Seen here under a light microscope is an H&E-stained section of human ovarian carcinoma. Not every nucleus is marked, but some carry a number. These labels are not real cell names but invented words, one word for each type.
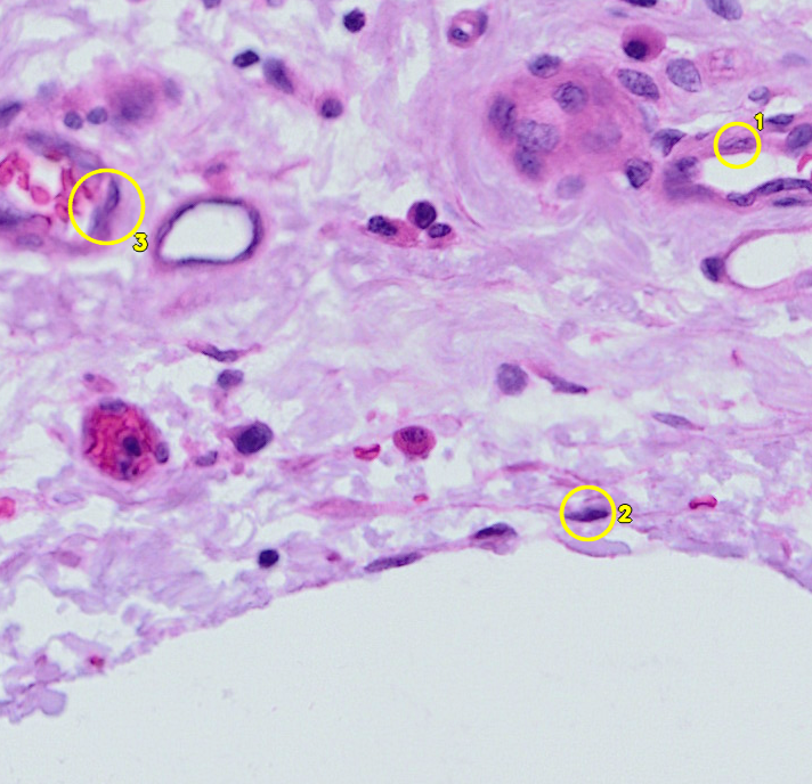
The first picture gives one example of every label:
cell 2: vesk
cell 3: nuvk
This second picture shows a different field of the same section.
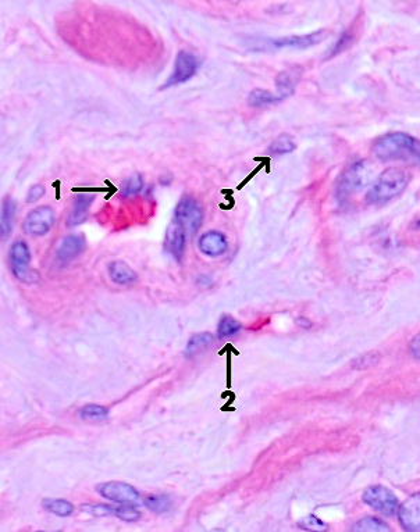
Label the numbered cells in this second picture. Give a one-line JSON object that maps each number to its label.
{"1": "nuvk", "2": "nuvk", "3": "vesk"}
